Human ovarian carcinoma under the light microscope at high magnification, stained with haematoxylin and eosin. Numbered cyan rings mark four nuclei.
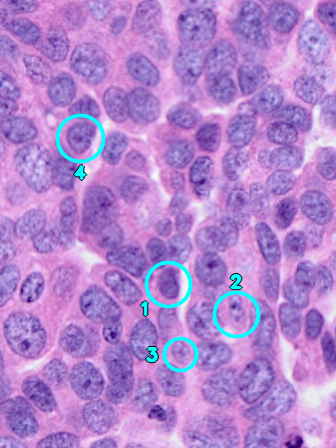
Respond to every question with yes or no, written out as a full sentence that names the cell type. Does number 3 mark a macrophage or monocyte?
No, cell 3 should be classed as a carcinoma cell, not as a macrophage or monocyte.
